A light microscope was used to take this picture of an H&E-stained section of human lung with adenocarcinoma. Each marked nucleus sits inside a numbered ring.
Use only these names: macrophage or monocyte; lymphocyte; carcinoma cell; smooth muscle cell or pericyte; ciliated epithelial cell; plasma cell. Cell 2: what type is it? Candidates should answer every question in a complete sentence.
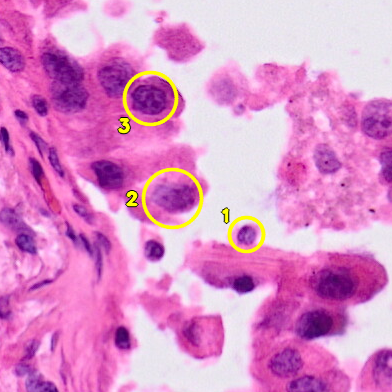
The cell to which the number 2 is assigned is a carcinoma cell.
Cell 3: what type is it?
The nucleus marked 3 is the nucleus of a carcinoma cell.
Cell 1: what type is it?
The cell marked with number 1 is a lymphocyte.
